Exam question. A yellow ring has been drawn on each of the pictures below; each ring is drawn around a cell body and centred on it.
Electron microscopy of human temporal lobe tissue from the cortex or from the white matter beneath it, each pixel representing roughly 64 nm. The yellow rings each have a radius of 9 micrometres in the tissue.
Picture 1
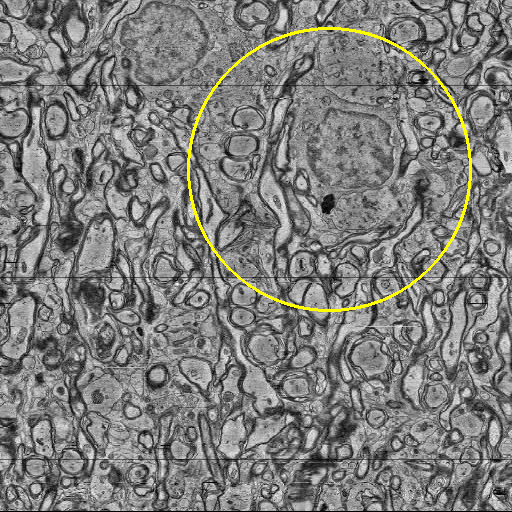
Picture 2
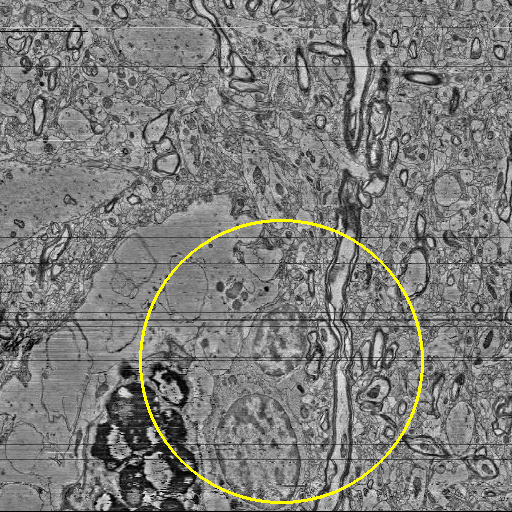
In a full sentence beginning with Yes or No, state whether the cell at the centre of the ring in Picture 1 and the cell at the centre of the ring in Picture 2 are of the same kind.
Yes, the two cells are of the same kind.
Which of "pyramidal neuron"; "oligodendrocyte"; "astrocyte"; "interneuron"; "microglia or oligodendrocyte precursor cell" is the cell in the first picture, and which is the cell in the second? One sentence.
Each one of the two ringed cells is an oligodendrocyte.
